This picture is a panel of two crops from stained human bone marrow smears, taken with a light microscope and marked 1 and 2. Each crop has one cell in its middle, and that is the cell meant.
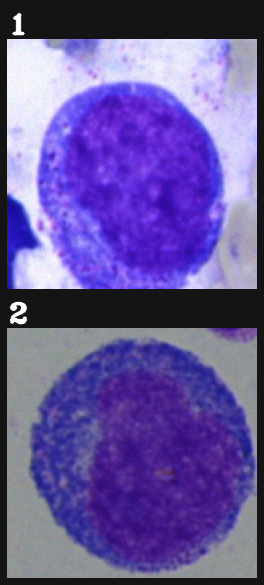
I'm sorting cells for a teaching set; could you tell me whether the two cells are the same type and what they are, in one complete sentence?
Yes, in the middle of both crops, promyelocytes are shown.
